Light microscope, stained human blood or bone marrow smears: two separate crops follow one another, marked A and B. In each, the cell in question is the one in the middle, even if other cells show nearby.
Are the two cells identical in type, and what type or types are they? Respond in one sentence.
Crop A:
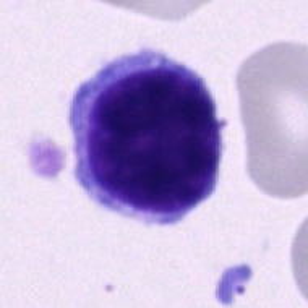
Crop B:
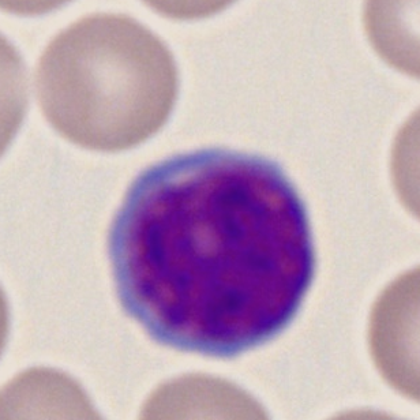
Yes, both crops have lymphocytes as their central cells.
